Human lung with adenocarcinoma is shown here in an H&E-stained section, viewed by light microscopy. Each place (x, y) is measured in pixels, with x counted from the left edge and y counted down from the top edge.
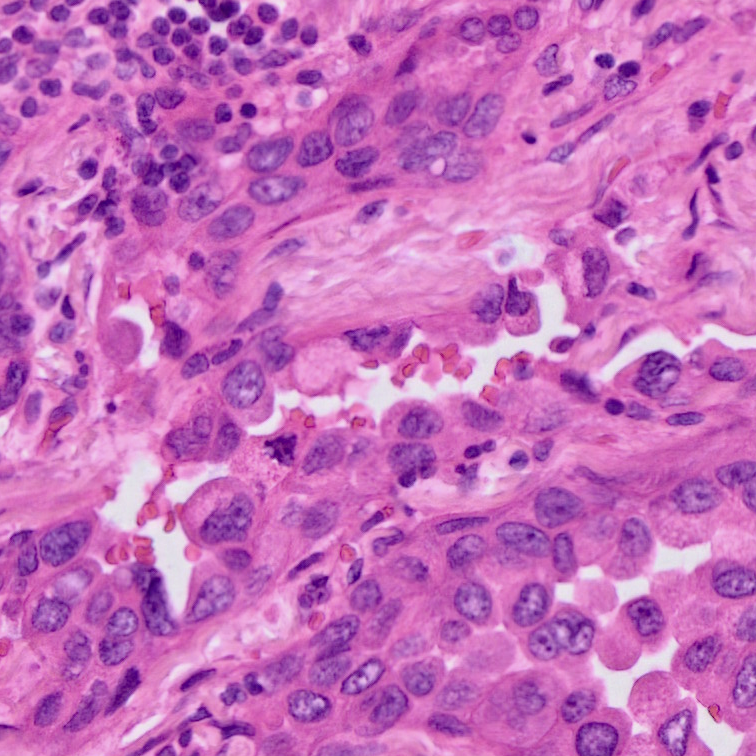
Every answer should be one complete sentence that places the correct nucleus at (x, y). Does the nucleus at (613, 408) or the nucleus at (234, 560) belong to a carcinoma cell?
The member of the pair belonging to a carcinoma cell is the nucleus at (234, 560).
